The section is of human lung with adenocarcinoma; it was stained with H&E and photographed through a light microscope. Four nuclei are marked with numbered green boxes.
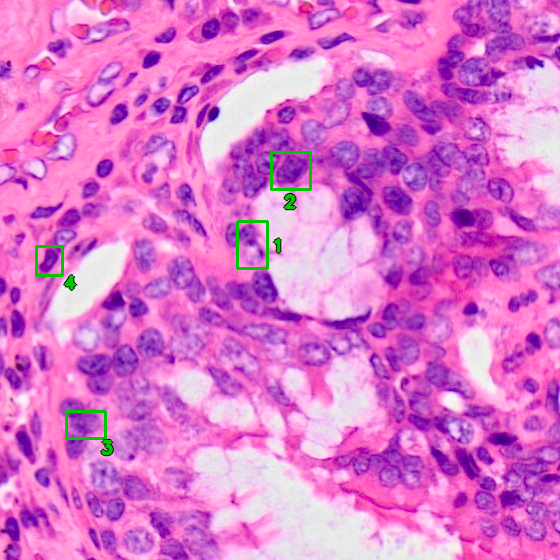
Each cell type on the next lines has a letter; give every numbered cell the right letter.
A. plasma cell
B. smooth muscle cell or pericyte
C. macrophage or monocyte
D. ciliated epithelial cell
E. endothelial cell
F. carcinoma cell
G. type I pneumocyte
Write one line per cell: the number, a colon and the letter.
1: D
2: D
3: D
4: A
